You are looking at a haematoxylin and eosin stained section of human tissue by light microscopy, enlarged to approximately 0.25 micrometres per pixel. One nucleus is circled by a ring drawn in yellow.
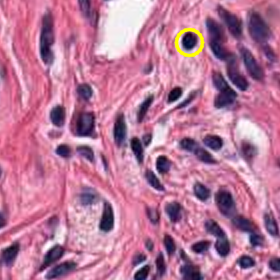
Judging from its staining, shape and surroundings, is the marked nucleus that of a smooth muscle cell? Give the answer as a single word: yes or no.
no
